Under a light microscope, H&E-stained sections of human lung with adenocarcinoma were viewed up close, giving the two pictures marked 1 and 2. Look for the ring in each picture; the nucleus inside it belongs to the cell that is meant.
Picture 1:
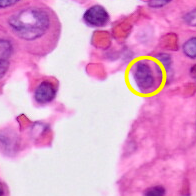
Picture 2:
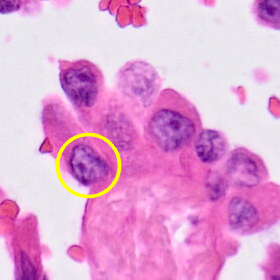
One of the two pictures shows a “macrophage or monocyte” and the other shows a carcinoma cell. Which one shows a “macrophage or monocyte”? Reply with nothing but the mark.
1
